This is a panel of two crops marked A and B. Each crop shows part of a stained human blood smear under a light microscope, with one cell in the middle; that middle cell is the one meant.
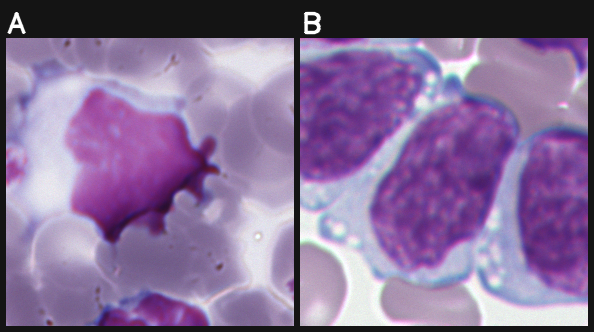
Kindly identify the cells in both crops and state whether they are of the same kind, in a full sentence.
No, cell A is a typical lymphocyte, and cell B is a myeloblast.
